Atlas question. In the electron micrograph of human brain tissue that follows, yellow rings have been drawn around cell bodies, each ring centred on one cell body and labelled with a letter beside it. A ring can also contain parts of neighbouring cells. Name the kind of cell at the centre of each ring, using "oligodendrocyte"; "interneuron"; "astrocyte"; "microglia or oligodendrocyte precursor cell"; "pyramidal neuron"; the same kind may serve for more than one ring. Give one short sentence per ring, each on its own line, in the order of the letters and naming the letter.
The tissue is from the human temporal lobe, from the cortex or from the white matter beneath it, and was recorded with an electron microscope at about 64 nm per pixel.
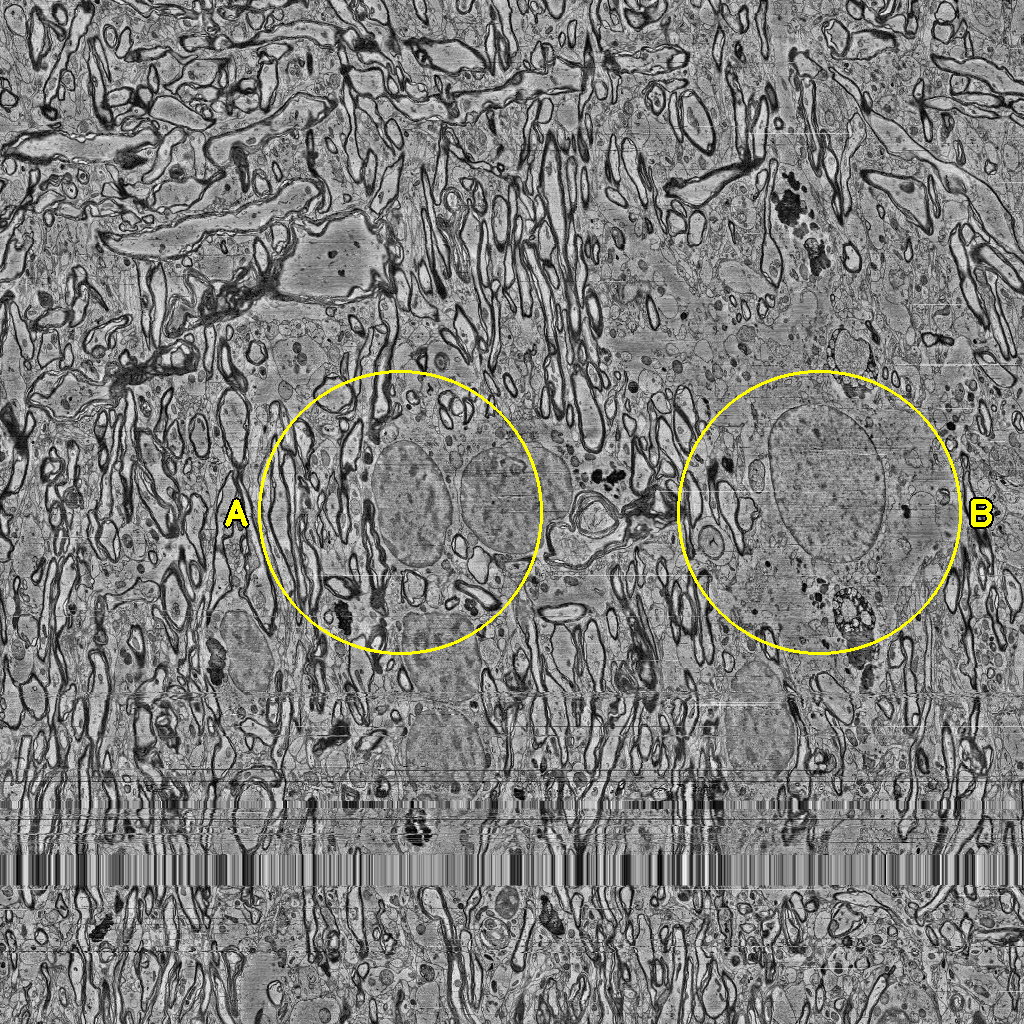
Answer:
For ring A, the cell at the centre is an oligodendrocyte.
For ring B, the cell at the centre is an astrocyte.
